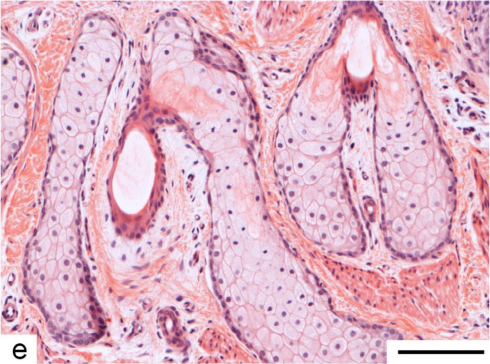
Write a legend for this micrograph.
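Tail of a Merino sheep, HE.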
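This is dermis of skin with elongated sebaceous gland lobules alongside hair follicles. The lobules consist of large polygonal cells with pale, vacuolated cytoplasm and central round nuclei, bordered by a rim of flattened dark-nucleated cells. Pink collagen and a band of smooth muscle-like fibres lie between and beneath the glands.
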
